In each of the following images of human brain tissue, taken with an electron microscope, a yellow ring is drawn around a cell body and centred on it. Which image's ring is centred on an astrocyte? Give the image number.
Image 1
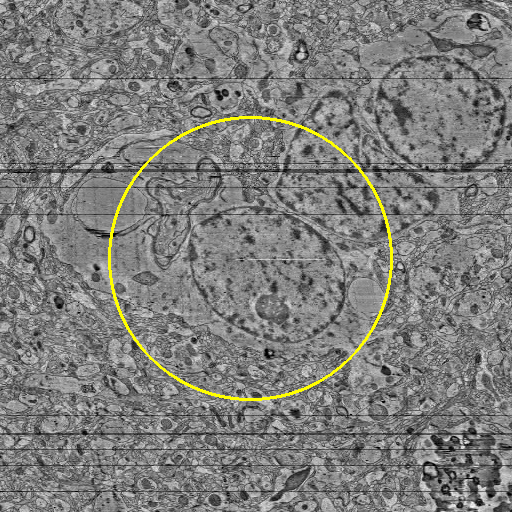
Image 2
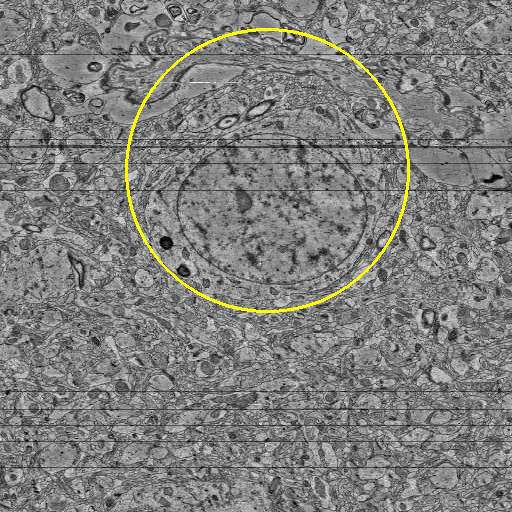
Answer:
1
